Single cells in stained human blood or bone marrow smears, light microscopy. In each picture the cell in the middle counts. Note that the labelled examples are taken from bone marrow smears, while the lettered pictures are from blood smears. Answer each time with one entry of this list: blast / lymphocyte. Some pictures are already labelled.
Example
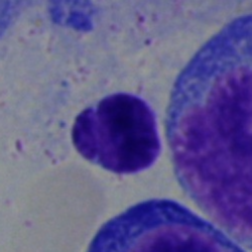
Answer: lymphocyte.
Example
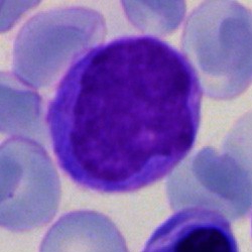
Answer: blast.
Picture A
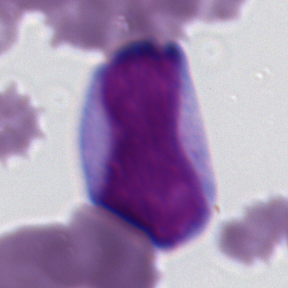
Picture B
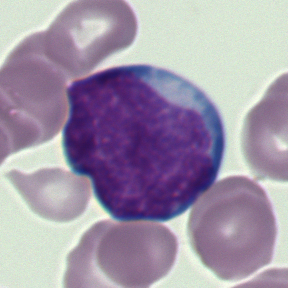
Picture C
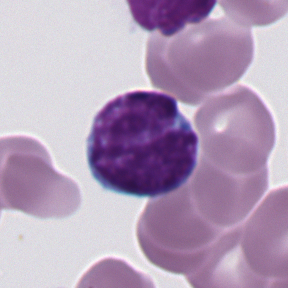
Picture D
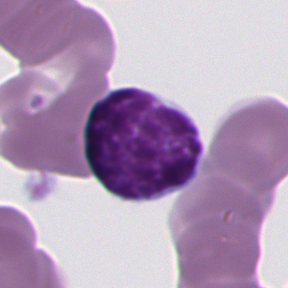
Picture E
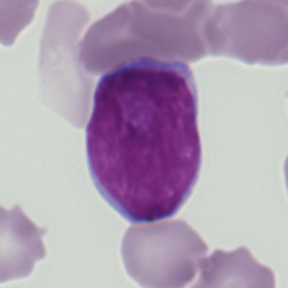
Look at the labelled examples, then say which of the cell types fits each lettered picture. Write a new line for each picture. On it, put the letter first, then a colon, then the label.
A: blast.
B: blast.
C: lymphocyte.
D: lymphocyte.
E: blast.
